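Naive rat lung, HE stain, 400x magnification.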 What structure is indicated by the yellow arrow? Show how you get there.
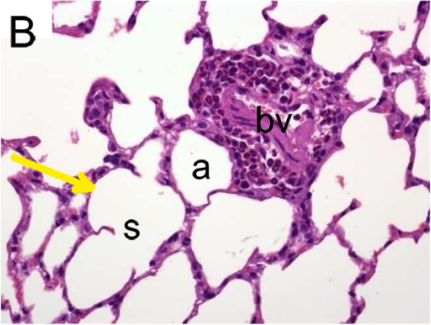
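Thin septa. The arrow points to a slender pink wall between two empty air spaces. The wall is only one or two nuclei thick.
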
